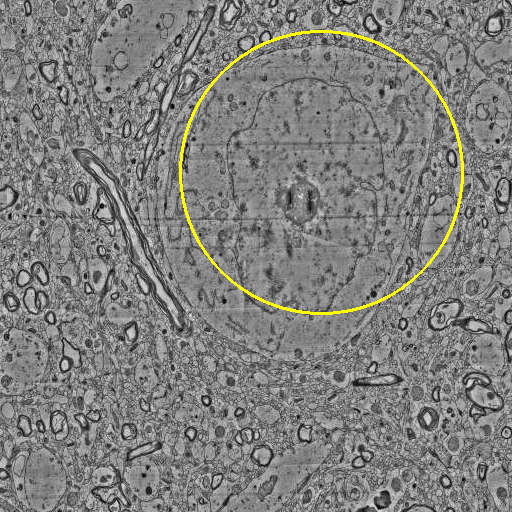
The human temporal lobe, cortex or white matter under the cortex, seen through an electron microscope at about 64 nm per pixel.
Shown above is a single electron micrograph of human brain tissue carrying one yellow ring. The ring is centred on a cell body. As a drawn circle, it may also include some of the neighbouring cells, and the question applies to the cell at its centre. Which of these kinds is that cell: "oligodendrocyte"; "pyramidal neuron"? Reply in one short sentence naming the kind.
The cell marked by the ring is a pyramidal neuron.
